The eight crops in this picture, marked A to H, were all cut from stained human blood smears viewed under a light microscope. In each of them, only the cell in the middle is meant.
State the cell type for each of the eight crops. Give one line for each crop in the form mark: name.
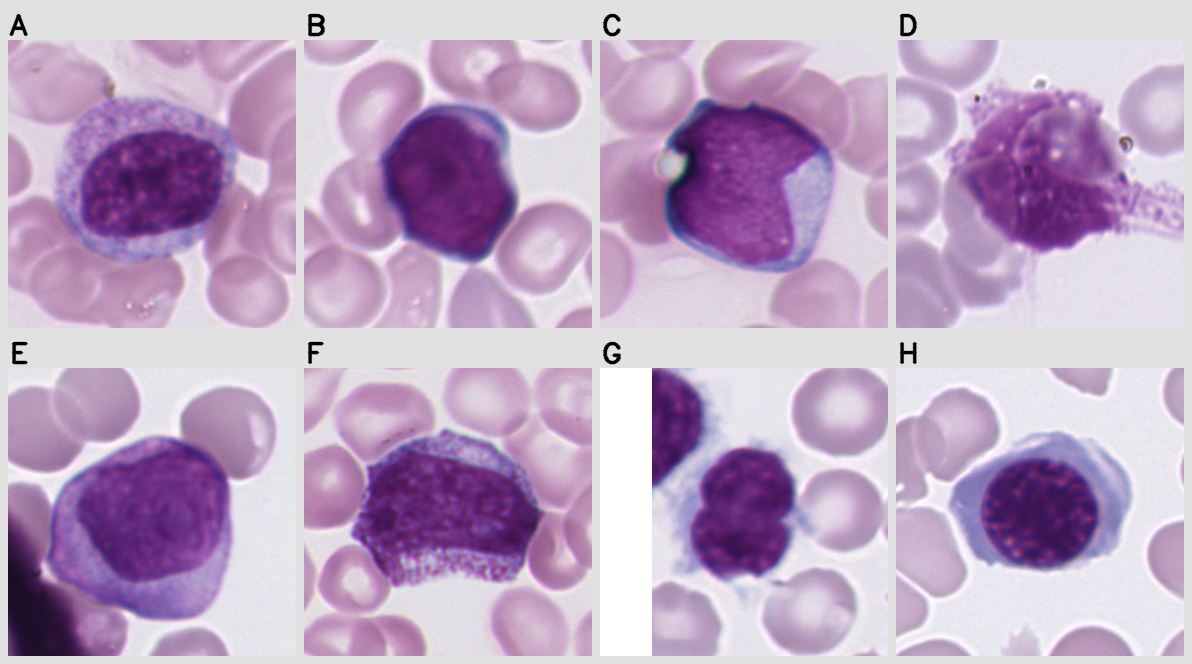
A: myelocyte
B: myeloblast
C: myeloblast
D: smudge cell
E: atypical promyelocyte
F: myelocyte
G: hairy cell
H: normoblast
